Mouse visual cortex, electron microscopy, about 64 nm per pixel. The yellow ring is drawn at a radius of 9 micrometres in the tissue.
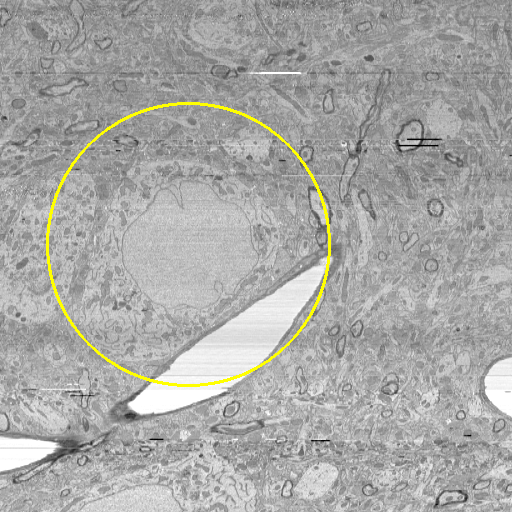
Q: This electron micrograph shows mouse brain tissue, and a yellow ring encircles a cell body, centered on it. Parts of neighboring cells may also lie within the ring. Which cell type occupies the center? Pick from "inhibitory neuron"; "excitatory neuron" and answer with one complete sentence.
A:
What sits at the ring's center in this micrograph is an inhibitory neuron, among those choices.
